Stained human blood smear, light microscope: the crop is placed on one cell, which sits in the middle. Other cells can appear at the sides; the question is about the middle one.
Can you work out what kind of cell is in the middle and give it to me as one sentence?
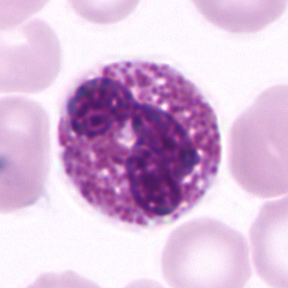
The central element of this crop is a cell, namely an eosinophil.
